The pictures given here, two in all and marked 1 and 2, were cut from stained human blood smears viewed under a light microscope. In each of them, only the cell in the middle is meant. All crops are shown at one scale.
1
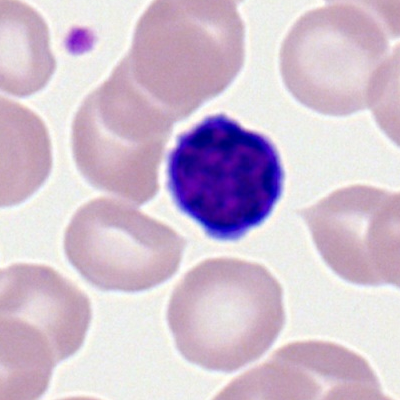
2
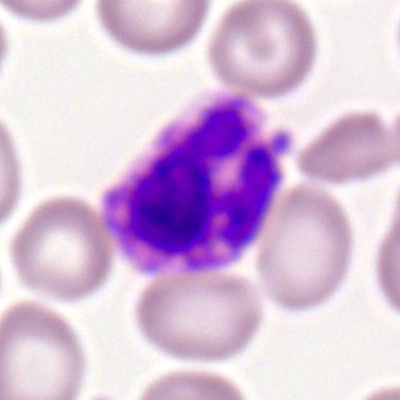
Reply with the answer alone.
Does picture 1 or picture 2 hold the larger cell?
2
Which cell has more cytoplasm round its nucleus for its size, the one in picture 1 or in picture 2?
2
